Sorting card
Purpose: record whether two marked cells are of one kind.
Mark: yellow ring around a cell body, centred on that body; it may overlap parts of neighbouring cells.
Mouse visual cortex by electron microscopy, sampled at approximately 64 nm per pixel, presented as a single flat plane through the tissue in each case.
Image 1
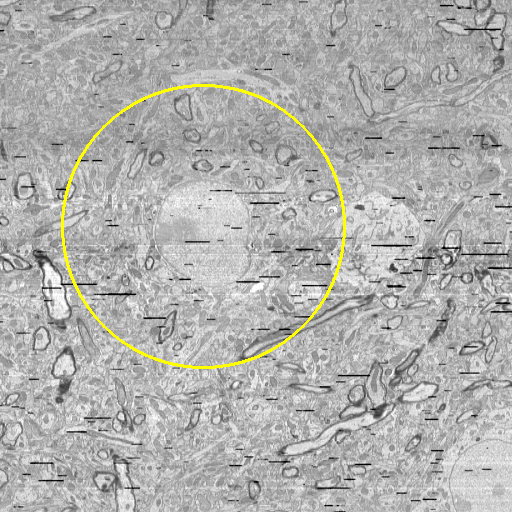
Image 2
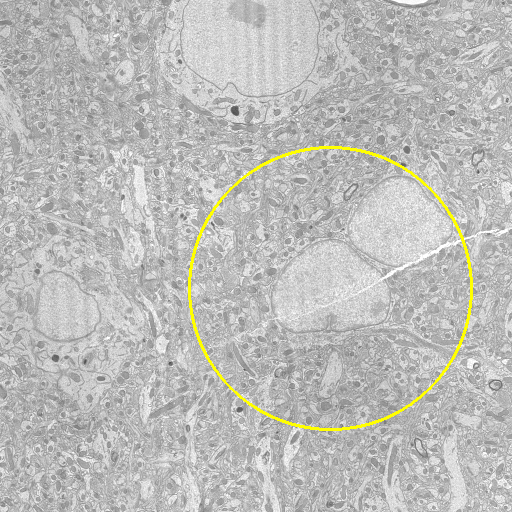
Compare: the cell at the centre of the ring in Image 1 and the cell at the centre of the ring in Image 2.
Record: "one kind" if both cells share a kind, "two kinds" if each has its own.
one kind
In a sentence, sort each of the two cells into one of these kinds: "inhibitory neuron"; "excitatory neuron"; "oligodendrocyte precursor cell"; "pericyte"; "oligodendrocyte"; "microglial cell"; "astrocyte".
Each one of the two ringed cells is an astrocyte.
